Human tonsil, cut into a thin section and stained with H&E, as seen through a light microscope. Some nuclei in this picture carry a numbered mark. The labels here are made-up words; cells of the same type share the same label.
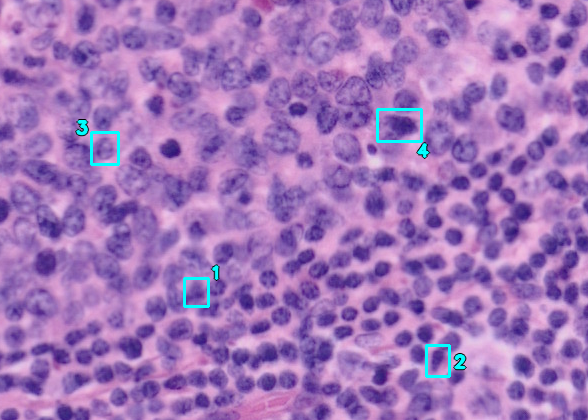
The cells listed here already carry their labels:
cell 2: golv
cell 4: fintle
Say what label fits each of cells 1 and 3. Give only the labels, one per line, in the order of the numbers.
fintle
fintle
